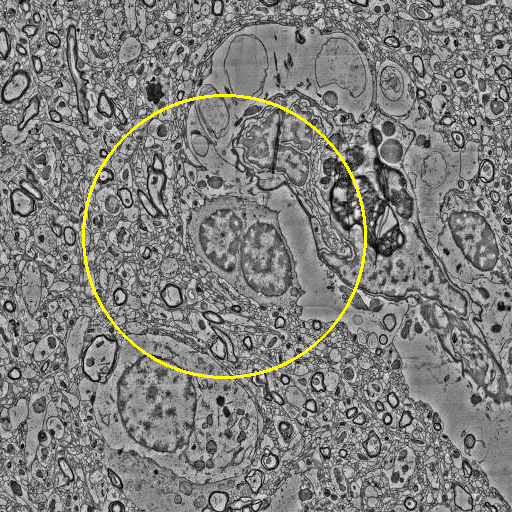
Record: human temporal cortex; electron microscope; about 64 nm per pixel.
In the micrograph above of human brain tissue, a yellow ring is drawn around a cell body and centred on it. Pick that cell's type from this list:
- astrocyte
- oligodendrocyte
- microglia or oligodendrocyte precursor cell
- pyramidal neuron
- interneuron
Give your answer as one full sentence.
Going by the list, an oligodendrocyte is the cell on which the yellow ring is centred.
